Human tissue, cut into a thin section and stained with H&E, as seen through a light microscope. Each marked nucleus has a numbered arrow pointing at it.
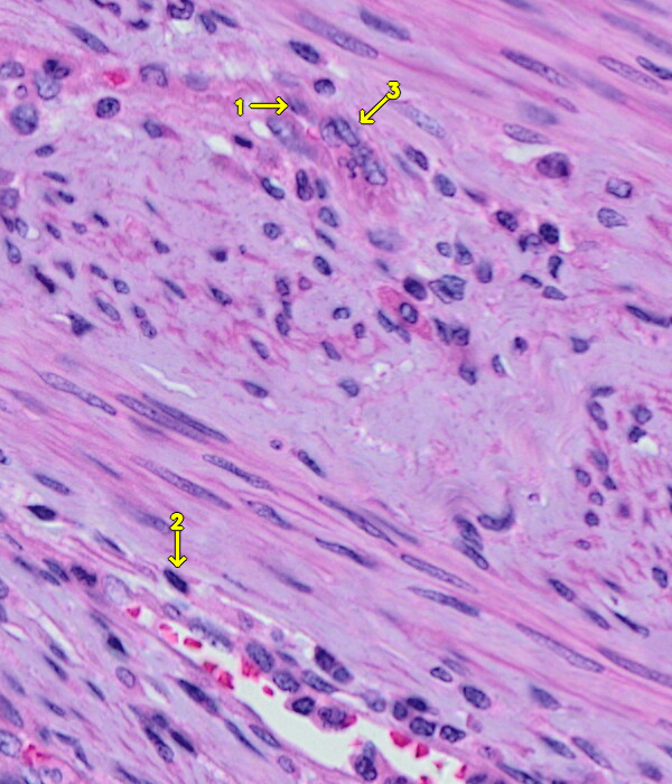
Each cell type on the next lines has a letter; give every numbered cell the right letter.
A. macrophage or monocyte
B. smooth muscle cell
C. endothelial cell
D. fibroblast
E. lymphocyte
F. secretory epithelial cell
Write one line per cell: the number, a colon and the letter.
1: C
2: E
3: C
